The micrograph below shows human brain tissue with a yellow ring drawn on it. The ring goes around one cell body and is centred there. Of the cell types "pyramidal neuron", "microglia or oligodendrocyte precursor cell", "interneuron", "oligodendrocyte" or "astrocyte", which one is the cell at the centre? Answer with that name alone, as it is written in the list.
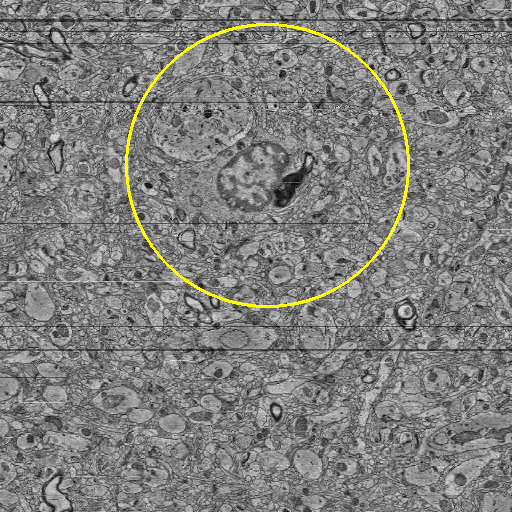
oligodendrocyte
